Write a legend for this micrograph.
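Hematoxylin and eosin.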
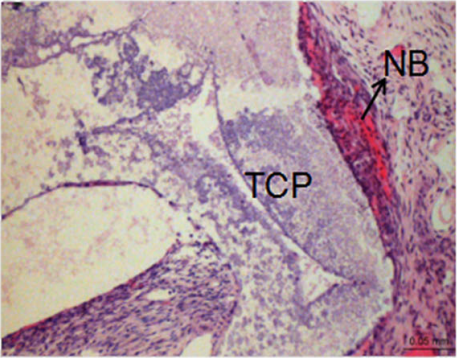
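Along the right edge, a band of intensely eosinophilic, bright red-pink matrix runs diagonally, bordered by elongated, spindle-shaped cells with dark nuclei. The scaffold granules are partly invaded by purple-staining cellular material. Thin strands of tissue with flattened nuclei outline the borders of the granules. Toward the upper right, the tissue is looser, with spindle cells arranged in wavy fascicles.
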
